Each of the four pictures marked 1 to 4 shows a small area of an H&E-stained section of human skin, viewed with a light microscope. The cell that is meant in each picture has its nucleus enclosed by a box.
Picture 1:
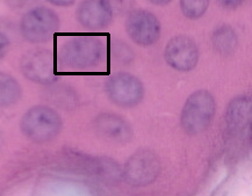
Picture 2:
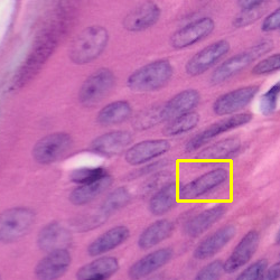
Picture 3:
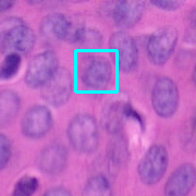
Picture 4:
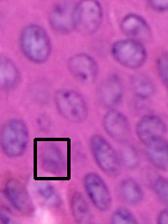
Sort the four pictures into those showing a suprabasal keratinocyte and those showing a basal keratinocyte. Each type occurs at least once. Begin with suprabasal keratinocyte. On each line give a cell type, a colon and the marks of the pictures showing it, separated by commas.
suprabasal keratinocyte: 1, 3, 4
basal keratinocyte: 2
